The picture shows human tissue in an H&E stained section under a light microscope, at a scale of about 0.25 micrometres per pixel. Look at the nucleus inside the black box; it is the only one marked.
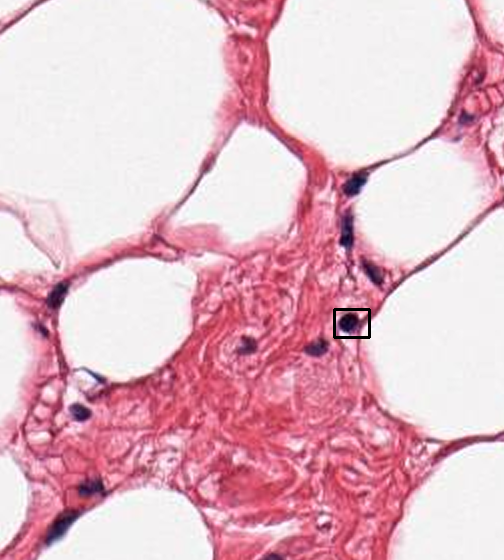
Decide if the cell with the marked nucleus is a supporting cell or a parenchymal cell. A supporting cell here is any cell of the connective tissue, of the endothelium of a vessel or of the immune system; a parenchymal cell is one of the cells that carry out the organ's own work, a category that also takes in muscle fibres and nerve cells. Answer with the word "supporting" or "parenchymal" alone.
supporting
